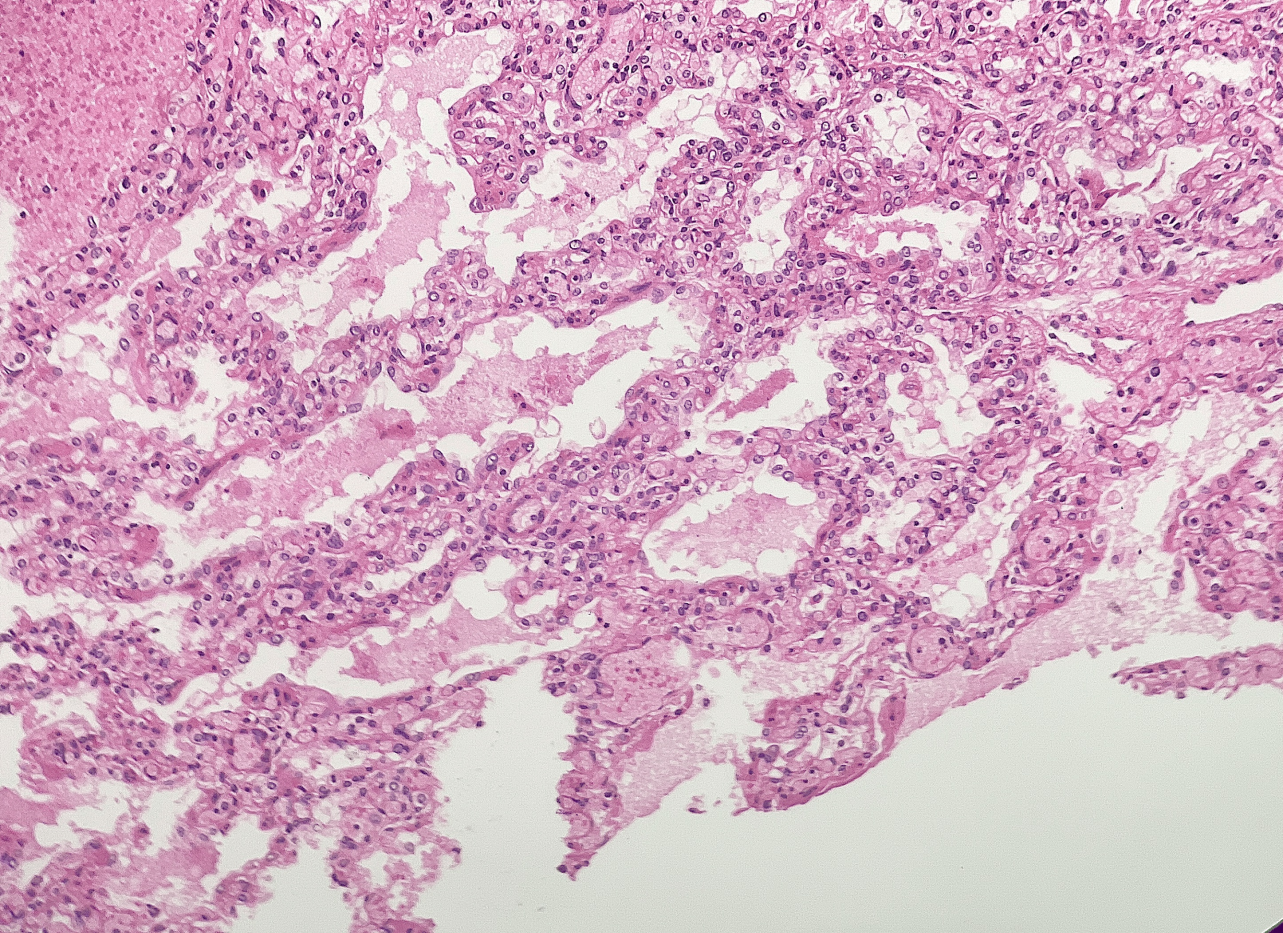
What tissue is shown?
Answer: lung parenchyma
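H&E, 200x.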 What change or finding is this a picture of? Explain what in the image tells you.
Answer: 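Pneumocyte hyperplasia. Airspaces are lined by plump, cuboidal cells rather than flat cells. The lining cells have round nuclei and pale to eosinophilic cytoplasm. The lining cells are crowded along thickened septa.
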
